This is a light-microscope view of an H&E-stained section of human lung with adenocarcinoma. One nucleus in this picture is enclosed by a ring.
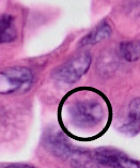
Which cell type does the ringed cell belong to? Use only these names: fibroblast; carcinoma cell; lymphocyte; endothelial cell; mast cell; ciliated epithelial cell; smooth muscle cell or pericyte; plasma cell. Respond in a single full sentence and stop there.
In the stained section, the ringed cell is a carcinoma cell.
